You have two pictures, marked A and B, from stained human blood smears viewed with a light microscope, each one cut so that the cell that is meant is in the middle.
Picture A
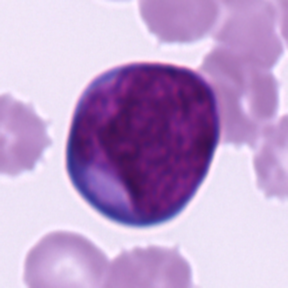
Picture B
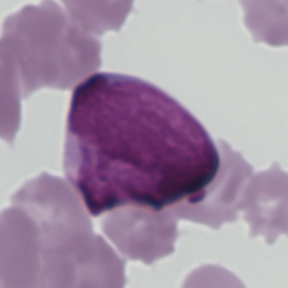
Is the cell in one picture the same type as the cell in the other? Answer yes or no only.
yes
